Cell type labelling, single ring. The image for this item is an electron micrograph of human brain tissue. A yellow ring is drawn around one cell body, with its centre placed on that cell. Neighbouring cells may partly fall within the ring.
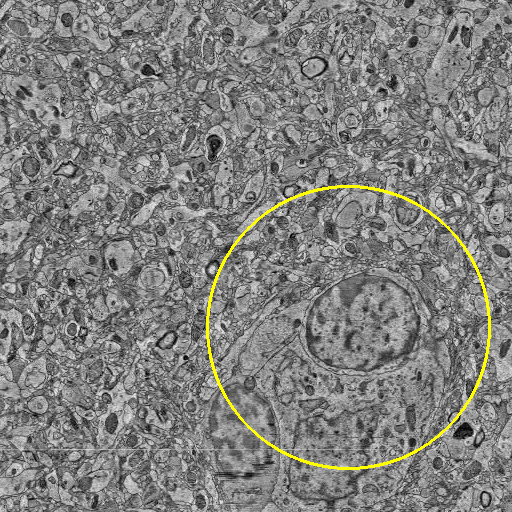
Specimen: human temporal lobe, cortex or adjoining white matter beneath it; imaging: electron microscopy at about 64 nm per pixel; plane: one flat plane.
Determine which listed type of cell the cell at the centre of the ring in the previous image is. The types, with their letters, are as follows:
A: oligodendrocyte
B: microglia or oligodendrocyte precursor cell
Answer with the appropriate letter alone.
B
